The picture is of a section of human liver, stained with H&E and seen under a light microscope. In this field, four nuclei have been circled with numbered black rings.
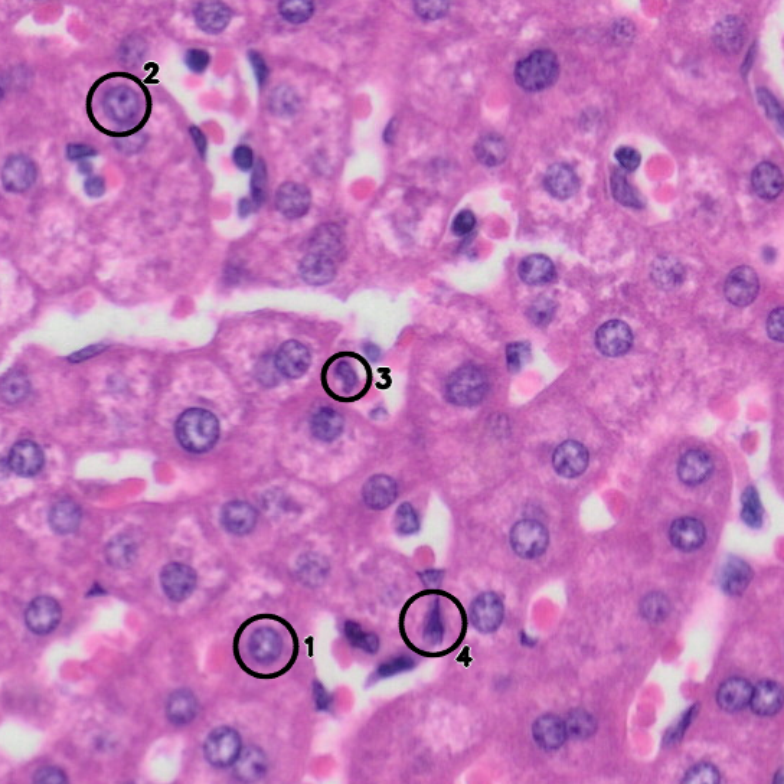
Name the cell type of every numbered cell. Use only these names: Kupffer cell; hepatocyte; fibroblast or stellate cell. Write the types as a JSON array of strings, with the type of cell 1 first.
["hepatocyte", "hepatocyte", "Kupffer cell", "fibroblast or stellate cell"]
